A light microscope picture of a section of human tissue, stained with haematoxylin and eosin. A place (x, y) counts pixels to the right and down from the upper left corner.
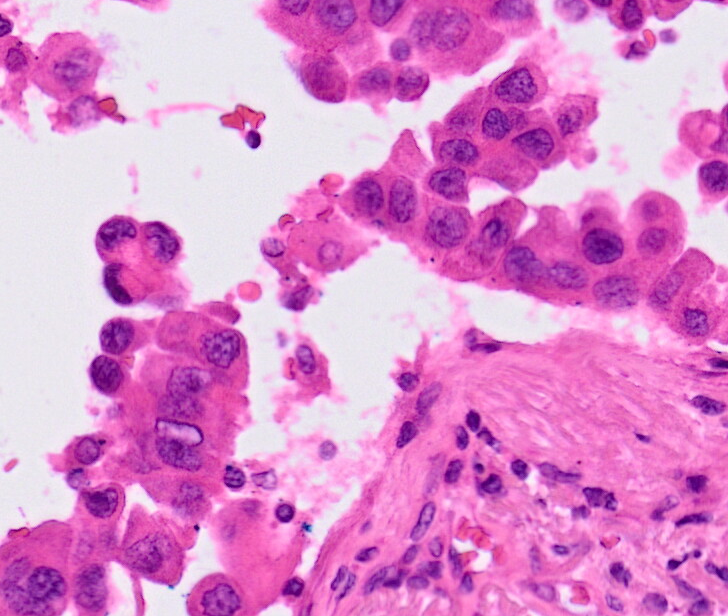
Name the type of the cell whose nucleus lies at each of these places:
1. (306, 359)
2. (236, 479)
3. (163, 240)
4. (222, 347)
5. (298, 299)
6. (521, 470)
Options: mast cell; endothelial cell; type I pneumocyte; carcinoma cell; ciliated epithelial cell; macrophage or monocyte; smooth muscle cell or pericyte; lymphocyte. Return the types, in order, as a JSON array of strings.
["macrophage or monocyte", "lymphocyte", "carcinoma cell", "carcinoma cell", "macrophage or monocyte", "lymphocyte"]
